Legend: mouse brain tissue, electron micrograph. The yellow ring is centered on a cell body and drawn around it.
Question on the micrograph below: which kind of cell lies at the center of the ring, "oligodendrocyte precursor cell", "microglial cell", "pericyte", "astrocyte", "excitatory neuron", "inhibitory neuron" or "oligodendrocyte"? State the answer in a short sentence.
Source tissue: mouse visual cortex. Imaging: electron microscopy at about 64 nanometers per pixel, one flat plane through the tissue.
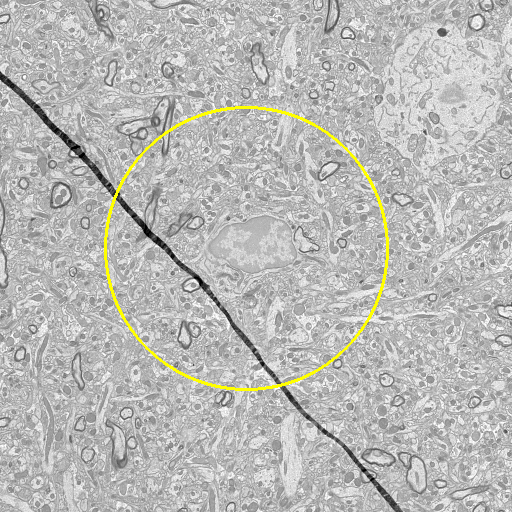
At the center of the ring lies a microglial cell.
